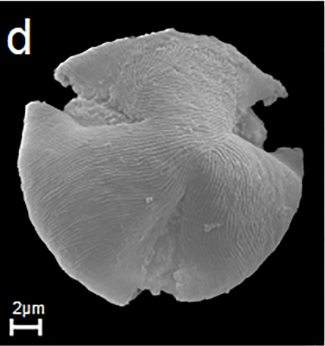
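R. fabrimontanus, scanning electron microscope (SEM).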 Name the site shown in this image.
Polar views.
